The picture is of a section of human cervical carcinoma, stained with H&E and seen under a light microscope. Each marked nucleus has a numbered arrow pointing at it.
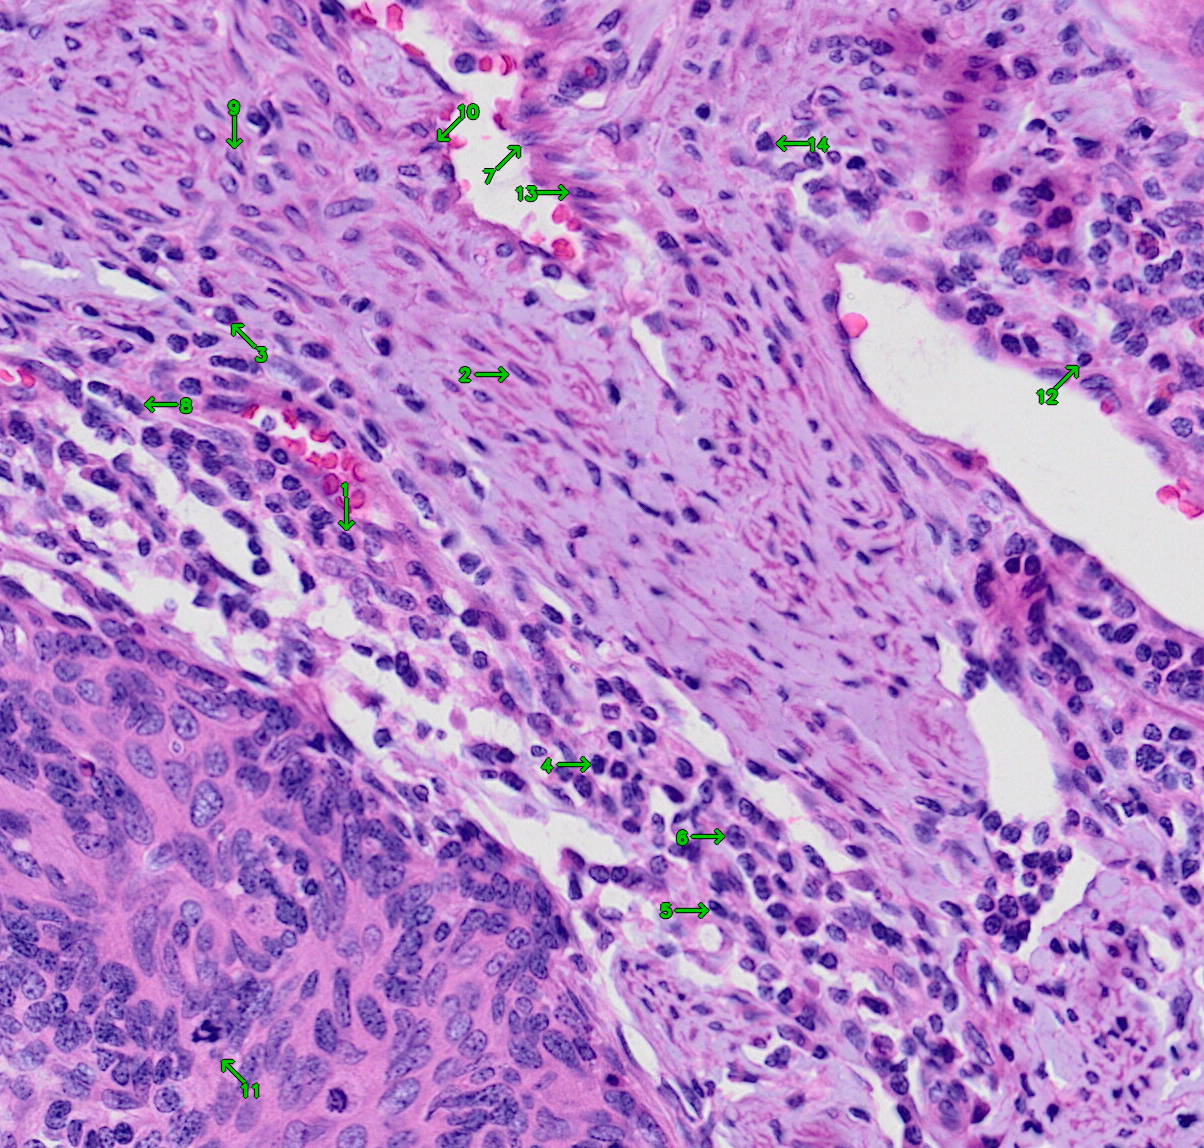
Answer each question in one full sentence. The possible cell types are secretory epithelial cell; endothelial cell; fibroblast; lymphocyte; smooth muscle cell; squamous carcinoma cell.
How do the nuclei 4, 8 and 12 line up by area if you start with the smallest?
The order from the smallest nucleus to the largest is 12, 4, 8.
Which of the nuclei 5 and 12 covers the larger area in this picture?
Nucleus 5 is the larger one, covering about 1.5 times the area of nucleus 12.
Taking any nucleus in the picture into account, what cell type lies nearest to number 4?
The cell nearest to number 4 is a lymphocyte.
